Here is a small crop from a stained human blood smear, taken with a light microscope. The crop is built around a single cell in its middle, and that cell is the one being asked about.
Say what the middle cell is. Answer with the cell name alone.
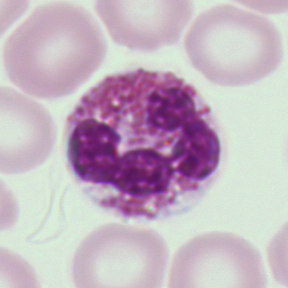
eosinophil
